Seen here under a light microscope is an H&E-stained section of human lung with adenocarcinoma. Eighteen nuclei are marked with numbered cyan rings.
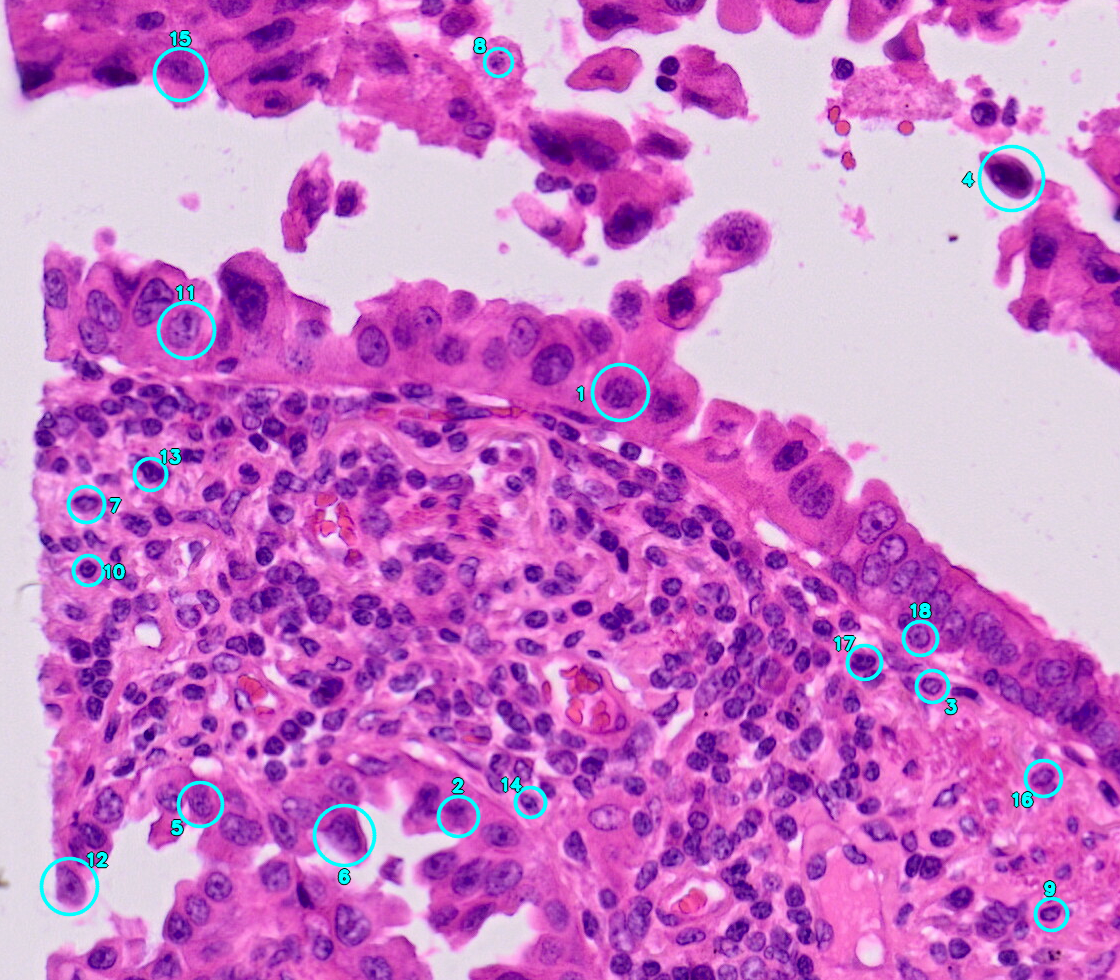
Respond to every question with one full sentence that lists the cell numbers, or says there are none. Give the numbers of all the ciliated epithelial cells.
Cell 18 is a ciliated epithelial cell; no further numbered cell is.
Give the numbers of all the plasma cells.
In short, the numbered cells 7, 10, 13 and 17 are plasma cells.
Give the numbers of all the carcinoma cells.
The cells referred to by numbers 1, 2, 4, 5, 6, 11, 12 and 15 are carcinoma cells.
